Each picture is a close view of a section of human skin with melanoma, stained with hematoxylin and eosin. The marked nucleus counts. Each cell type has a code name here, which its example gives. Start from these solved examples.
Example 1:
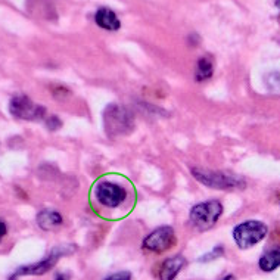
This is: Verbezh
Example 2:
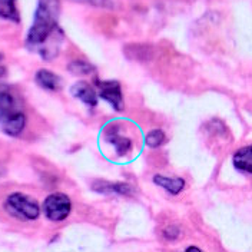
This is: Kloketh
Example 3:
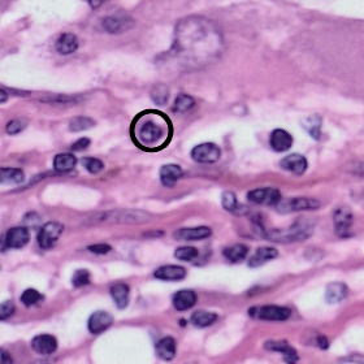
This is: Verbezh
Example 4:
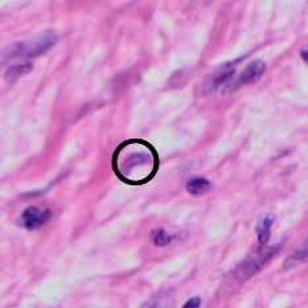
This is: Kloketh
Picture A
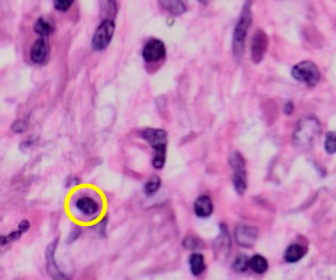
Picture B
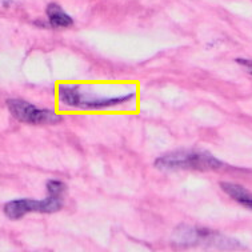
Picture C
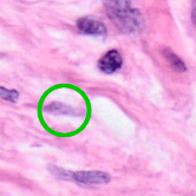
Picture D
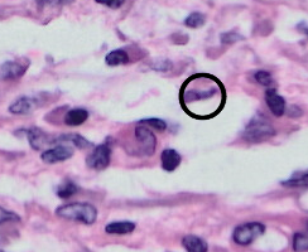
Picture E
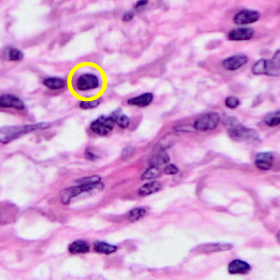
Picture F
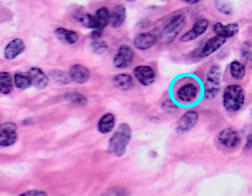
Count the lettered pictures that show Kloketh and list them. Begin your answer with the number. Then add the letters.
3, namely B, C, D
